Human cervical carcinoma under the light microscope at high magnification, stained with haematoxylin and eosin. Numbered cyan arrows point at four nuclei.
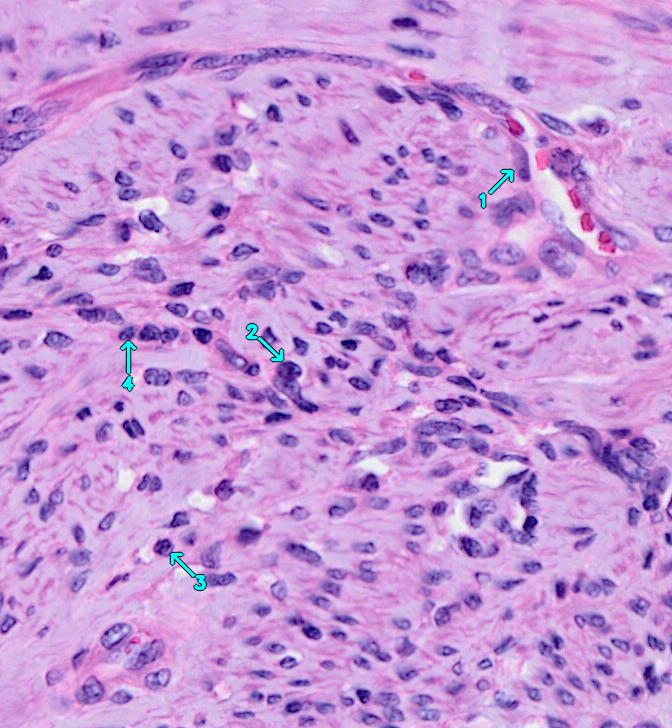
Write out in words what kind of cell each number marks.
Cell 1 is an endothelial cell. Cells 2, 3 and 4 are lymphocytes.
